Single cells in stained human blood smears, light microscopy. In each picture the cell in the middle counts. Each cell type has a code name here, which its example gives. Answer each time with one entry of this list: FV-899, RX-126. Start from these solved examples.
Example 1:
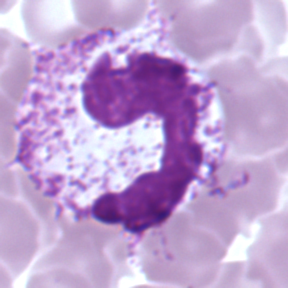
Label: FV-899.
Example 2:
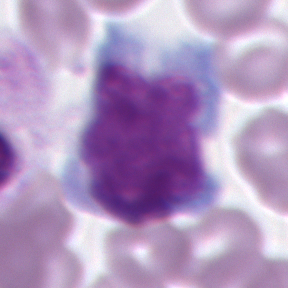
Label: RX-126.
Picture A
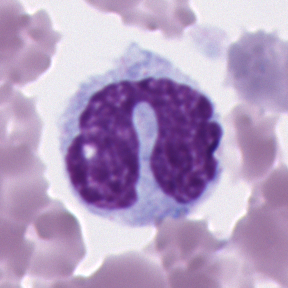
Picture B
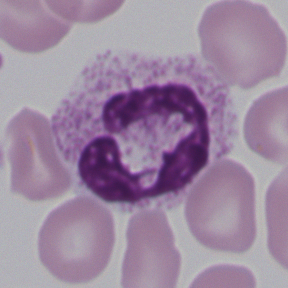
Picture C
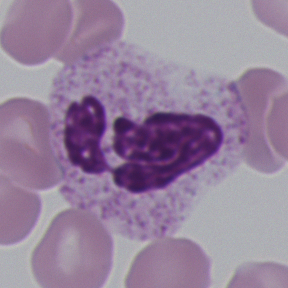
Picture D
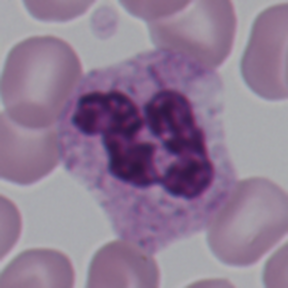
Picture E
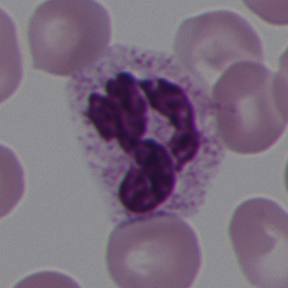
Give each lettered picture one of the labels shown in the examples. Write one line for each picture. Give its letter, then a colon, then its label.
A: RX-126.
B: FV-899.
C: FV-899.
D: FV-899.
E: FV-899.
